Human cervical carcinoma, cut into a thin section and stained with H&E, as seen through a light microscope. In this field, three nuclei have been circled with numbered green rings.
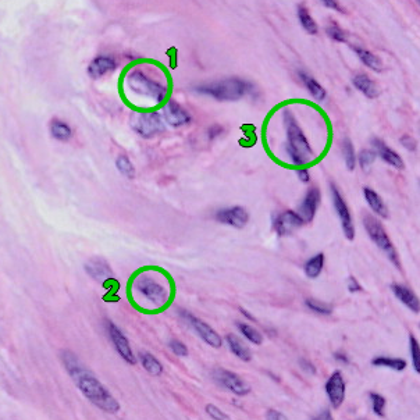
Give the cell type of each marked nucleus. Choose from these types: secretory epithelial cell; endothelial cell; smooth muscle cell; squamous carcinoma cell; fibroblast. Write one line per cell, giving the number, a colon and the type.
1: endothelial cell
2: smooth muscle cell
3: fibroblast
